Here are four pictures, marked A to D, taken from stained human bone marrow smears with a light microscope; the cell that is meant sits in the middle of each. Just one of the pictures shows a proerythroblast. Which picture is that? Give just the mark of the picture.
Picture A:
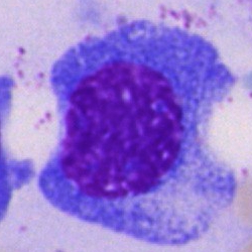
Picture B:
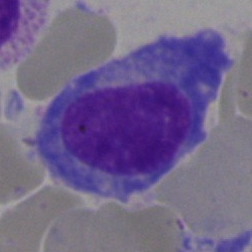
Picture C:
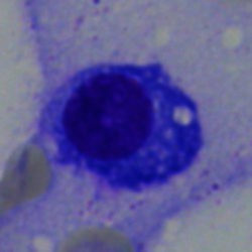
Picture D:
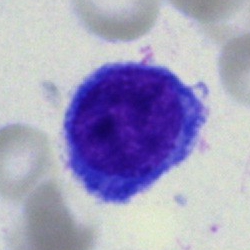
D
